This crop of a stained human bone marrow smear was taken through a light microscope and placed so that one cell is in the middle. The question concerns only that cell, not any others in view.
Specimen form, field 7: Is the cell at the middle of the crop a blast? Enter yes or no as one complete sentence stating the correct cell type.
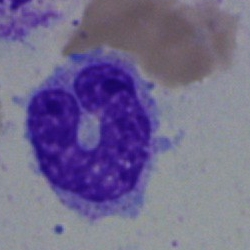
No, the middle of the crop holds a monocyte, not a blast.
